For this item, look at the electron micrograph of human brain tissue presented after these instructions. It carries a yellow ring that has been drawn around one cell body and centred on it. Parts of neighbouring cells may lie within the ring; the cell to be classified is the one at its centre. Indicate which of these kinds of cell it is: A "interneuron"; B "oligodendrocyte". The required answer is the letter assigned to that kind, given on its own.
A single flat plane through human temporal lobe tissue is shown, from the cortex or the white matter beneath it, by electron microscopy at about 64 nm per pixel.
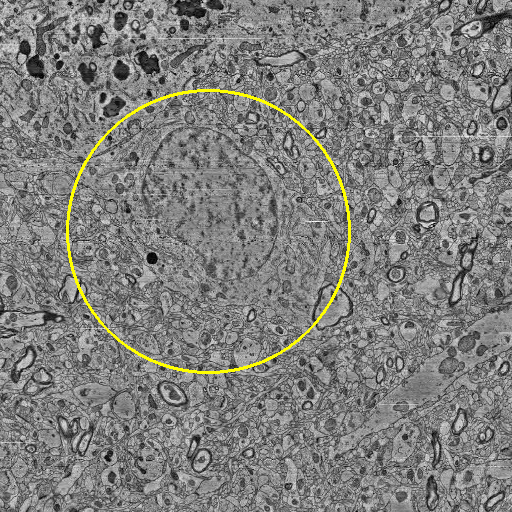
A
